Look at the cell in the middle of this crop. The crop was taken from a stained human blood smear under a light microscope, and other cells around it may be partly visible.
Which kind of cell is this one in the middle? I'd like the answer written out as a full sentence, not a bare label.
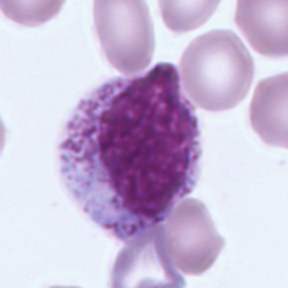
The cell occupying the middle of the crop is a myelocyte.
